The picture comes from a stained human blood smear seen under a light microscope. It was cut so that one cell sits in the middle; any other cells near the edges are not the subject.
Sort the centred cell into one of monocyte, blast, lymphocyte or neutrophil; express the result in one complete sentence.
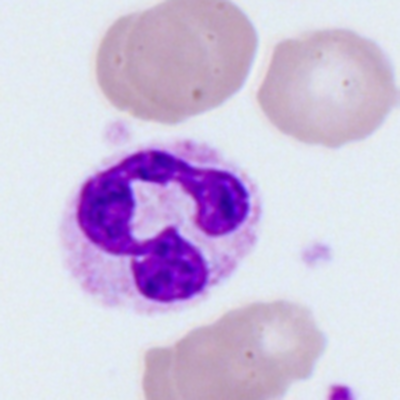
The centered cell in this crop is a neutrophil.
